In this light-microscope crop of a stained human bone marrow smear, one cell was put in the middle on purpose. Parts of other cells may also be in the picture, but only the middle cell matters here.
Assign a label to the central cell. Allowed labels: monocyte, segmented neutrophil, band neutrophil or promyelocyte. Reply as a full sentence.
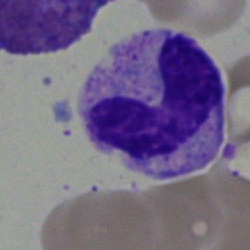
For this crop, the central cell is a band neutrophil.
